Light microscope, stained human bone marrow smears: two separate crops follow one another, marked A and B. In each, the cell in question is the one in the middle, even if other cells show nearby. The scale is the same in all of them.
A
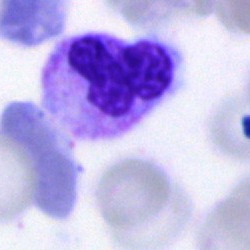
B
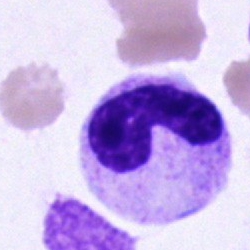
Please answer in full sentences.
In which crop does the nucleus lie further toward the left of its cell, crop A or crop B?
In crop B the nucleus is shifted more toward the left.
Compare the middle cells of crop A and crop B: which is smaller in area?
Smaller is the cell in crop A, and the other is about 1.5 times as large in area.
